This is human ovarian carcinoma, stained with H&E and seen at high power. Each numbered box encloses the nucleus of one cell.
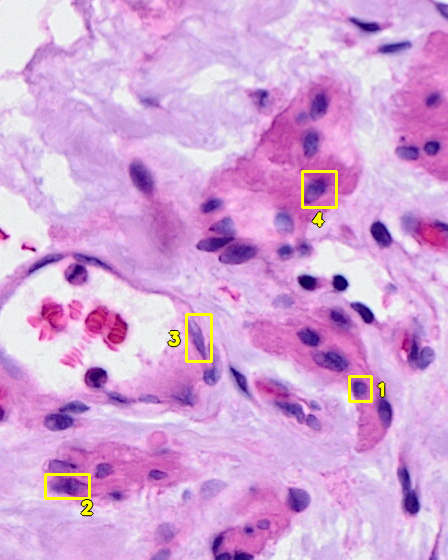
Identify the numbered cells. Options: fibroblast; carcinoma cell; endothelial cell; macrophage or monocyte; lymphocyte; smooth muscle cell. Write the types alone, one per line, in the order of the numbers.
smooth muscle cell
smooth muscle cell
endothelial cell
smooth muscle cell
